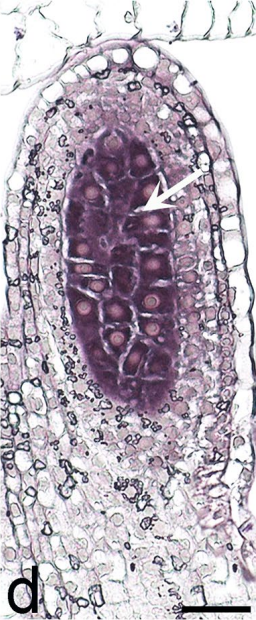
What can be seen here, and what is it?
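Longitudinal section of an anther with its locule packed with pollen mother cells. These cells are large and polygonal, closely fitted against each other, with dark purple cytoplasm. The locule is enclosed by several layers of smaller, flattened wall cells that stain lightly. The outermost layer consists of larger, rounded, pale and vacuolated epidermal cells.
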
